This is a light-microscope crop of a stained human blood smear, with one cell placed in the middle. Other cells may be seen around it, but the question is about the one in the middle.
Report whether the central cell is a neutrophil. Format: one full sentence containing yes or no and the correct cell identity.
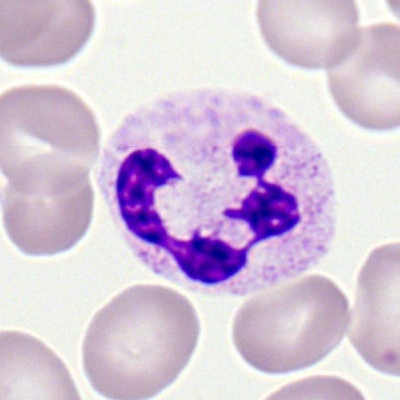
Yes, the cell of interest in the centre is a neutrophil.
